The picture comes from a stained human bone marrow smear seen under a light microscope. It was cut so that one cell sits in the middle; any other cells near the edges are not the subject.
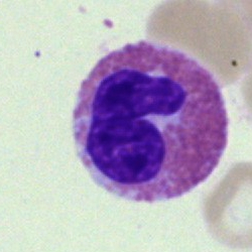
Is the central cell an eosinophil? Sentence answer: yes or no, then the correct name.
Yes, the cell occupying the middle of the crop is an eosinophil.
